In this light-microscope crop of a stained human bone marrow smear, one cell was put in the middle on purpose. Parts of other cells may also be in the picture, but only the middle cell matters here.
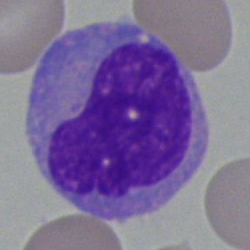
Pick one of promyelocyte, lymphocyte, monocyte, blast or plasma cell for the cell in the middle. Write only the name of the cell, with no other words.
monocyte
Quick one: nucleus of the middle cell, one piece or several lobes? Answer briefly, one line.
One compact mass makes up the whole nucleus, round, oval or kidney-shaped.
